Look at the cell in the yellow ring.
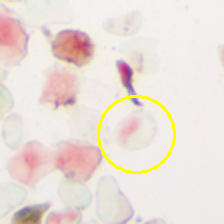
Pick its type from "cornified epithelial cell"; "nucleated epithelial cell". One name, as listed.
nucleated epithelial cell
